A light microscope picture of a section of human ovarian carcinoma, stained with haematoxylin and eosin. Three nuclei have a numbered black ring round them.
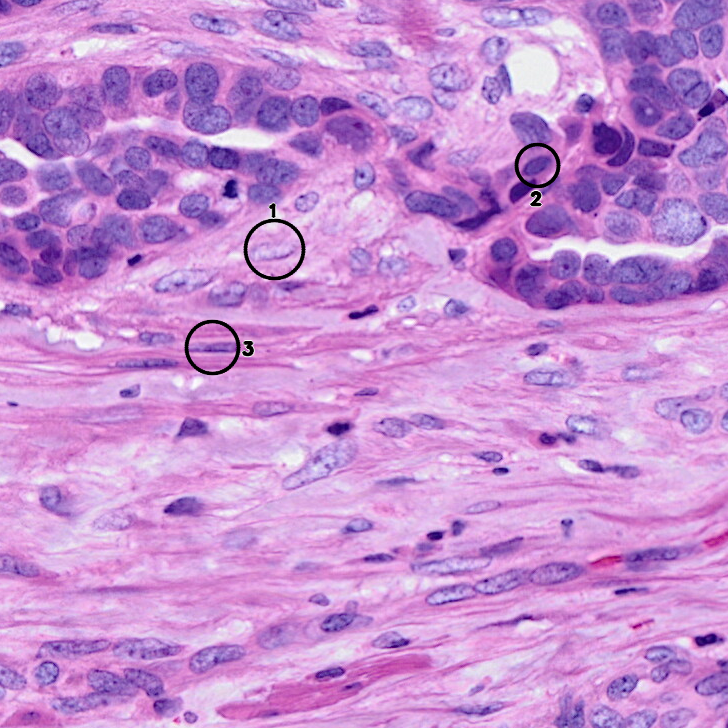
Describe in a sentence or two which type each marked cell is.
Cells 1 and 3 are fibroblasts. Cell 2 is a carcinoma cell.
